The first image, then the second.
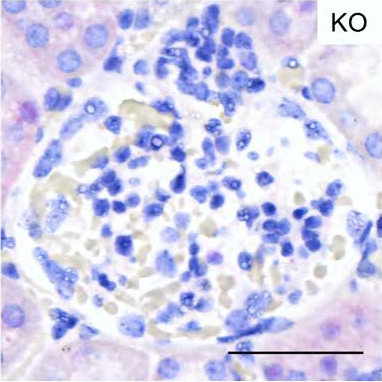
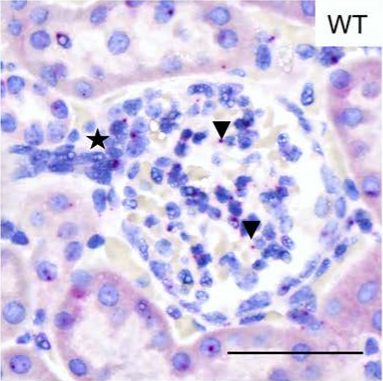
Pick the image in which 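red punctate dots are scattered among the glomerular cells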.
The second image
